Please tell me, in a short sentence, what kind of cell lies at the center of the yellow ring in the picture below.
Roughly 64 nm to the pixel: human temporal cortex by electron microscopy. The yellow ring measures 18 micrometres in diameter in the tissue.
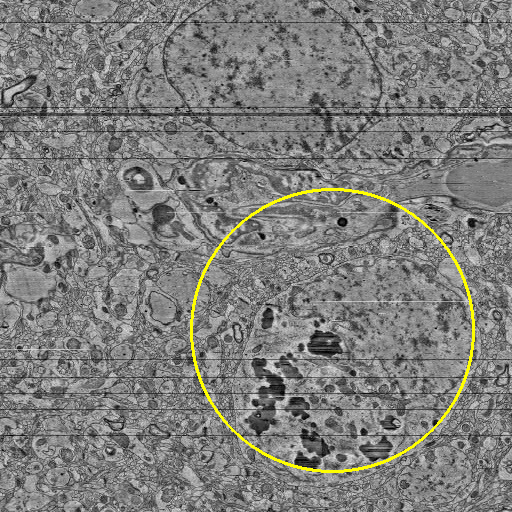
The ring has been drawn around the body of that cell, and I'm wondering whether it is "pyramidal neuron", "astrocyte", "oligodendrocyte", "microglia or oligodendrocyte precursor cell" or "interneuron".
The cell at the center of the ring is an interneuron.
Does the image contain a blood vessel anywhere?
Yes, the image shows a blood vessel.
